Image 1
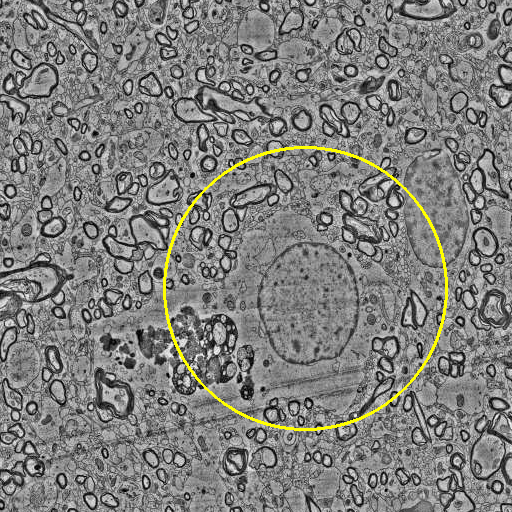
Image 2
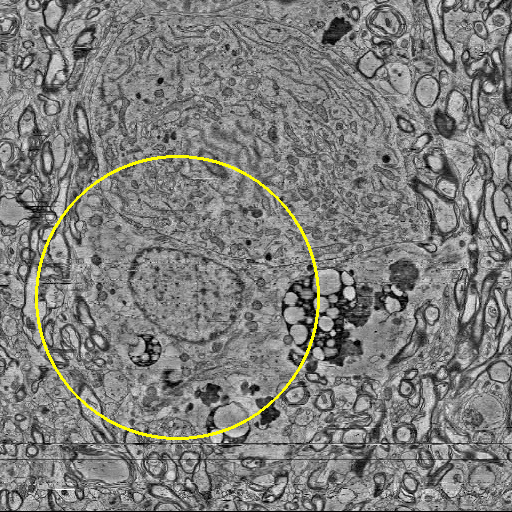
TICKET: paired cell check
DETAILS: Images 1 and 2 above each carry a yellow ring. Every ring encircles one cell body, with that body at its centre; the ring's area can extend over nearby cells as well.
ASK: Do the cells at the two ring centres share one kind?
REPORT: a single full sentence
Yes, the ring-centre cells of Images 1 and 2 belong to a single kind.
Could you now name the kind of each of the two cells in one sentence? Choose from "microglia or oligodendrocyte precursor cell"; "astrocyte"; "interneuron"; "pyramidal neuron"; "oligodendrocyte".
The cell in the first picture is an astrocyte, and so is the one in the second.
